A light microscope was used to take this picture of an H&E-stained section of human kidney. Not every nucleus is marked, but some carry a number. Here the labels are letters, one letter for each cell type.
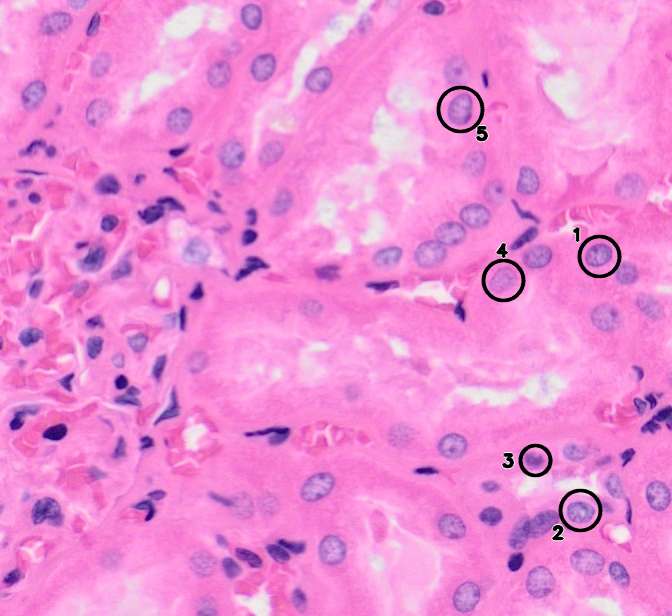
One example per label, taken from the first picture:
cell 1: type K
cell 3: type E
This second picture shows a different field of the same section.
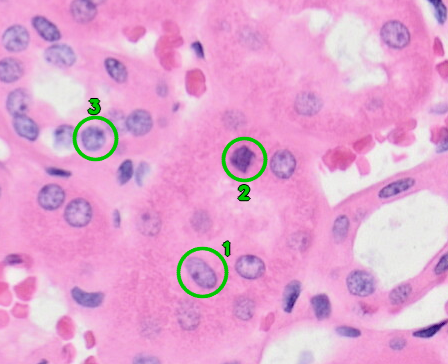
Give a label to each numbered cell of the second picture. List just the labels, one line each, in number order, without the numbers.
type K
type K
type E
